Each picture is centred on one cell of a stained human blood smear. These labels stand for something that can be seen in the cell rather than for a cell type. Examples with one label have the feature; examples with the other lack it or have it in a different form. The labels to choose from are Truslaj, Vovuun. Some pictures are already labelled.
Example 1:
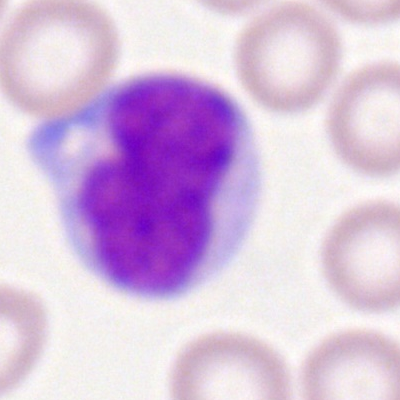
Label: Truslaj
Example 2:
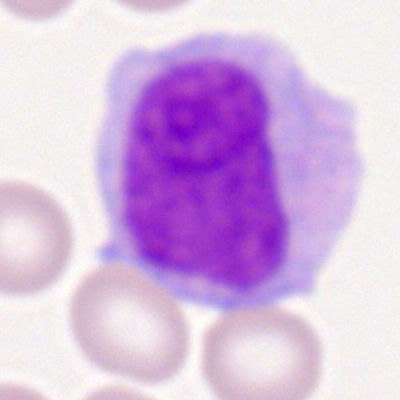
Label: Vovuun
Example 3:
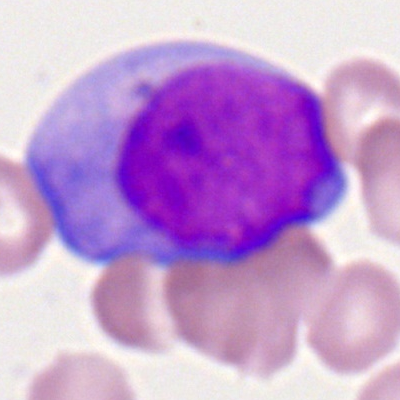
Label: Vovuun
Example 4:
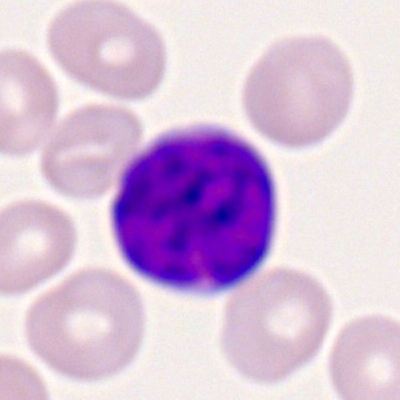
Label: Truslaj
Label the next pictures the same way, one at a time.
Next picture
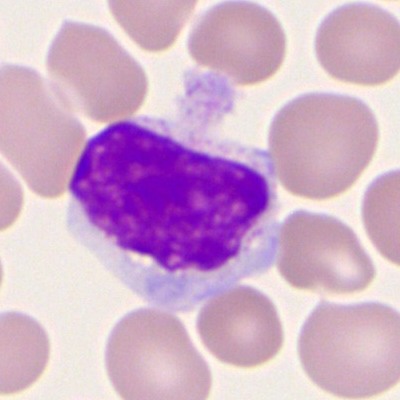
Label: Truslaj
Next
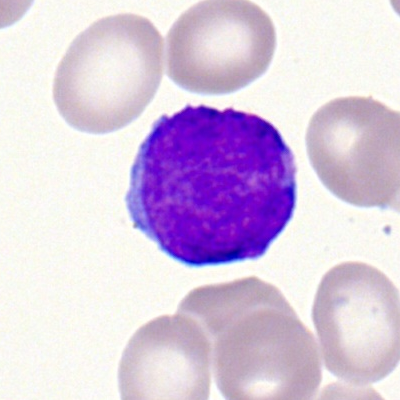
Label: Truslaj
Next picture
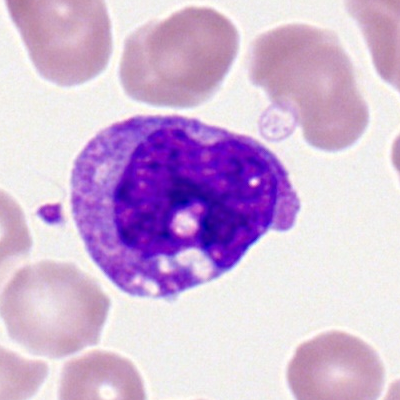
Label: Truslaj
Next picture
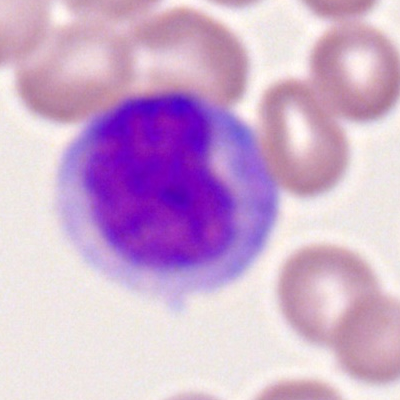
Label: Truslaj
